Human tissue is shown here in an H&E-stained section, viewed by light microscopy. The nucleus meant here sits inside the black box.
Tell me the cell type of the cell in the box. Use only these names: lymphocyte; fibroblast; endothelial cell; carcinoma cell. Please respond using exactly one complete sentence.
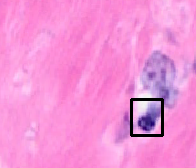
In cell-type terms, the cell in the box is a lymphocyte.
